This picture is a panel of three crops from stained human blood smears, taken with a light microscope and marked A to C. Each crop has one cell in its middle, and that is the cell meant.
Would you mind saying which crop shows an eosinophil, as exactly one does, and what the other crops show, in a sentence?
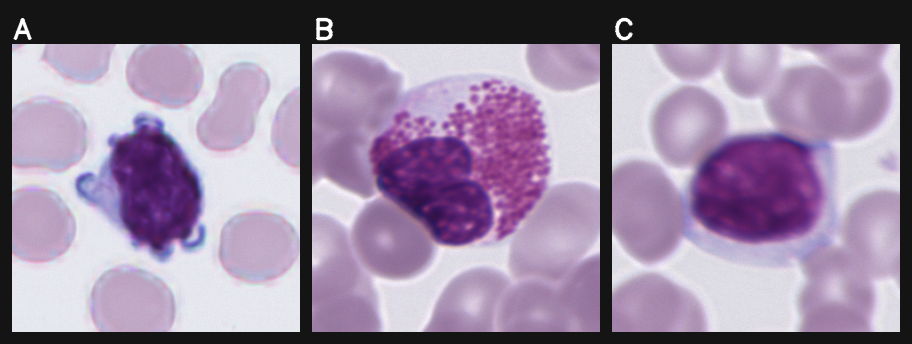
Crop B should be logged as an eosinophil, while crop A is a plasma cell and crop C is a large granular lymphocyte.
